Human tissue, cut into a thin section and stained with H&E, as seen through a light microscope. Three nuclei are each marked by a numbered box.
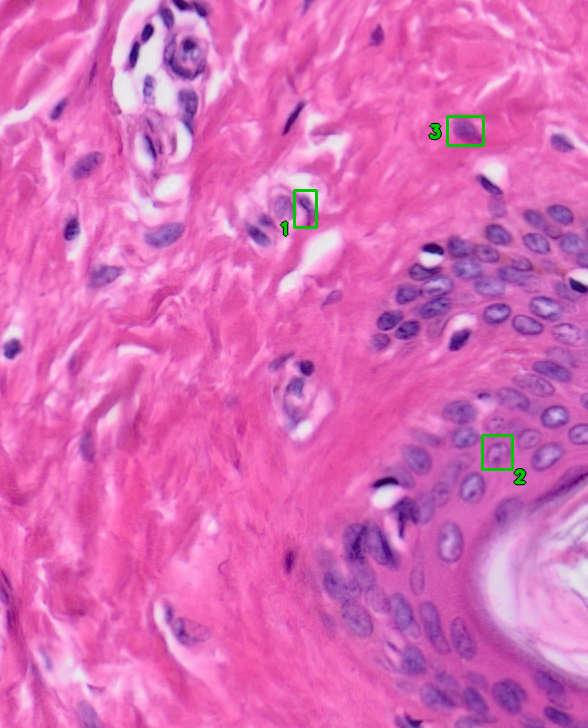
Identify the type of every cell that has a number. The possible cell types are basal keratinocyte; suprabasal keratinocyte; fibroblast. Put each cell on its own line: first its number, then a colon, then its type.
1: fibroblast
2: suprabasal keratinocyte
3: fibroblast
